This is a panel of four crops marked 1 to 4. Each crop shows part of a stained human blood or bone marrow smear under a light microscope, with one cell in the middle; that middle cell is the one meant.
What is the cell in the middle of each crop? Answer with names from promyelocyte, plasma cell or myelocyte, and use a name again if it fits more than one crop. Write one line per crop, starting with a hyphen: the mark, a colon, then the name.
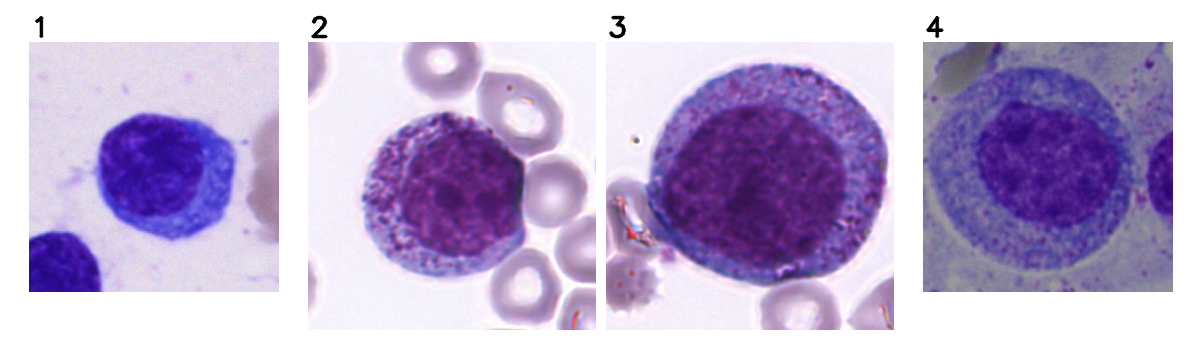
- 1: plasma cell
- 2: myelocyte
- 3: promyelocyte
- 4: promyelocyte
